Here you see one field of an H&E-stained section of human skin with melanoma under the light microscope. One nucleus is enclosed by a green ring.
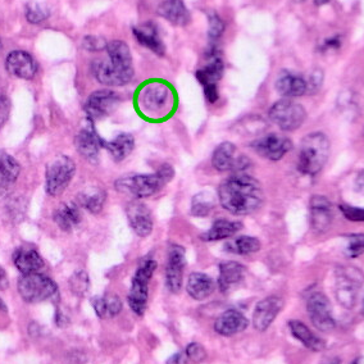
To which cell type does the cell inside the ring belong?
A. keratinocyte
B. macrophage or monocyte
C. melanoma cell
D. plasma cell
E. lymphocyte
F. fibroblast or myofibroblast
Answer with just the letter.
C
